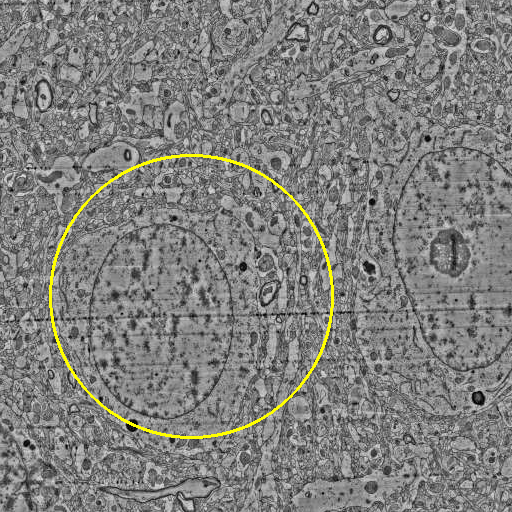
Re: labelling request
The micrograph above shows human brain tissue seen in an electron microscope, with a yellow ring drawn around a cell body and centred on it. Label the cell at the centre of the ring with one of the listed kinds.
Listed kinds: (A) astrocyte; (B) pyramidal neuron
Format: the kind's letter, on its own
B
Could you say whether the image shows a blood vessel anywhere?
No, no vessel appears in the picture.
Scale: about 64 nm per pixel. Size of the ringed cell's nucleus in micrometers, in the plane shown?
In this plane the nucleus is about 12 micrometres by 10.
